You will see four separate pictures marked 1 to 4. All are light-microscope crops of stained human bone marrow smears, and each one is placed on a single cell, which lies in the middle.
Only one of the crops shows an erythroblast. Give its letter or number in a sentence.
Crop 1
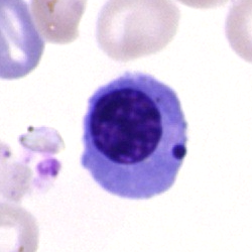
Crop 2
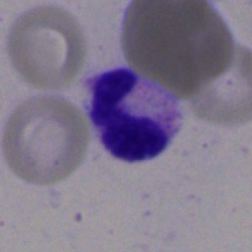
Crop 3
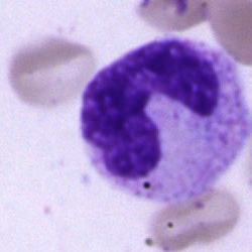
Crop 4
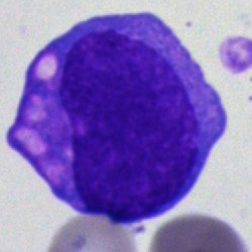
It is crop 1 that shows an erythroblast.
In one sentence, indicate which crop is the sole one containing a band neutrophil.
Crop 3 is the crop in which a band neutrophil is shown.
